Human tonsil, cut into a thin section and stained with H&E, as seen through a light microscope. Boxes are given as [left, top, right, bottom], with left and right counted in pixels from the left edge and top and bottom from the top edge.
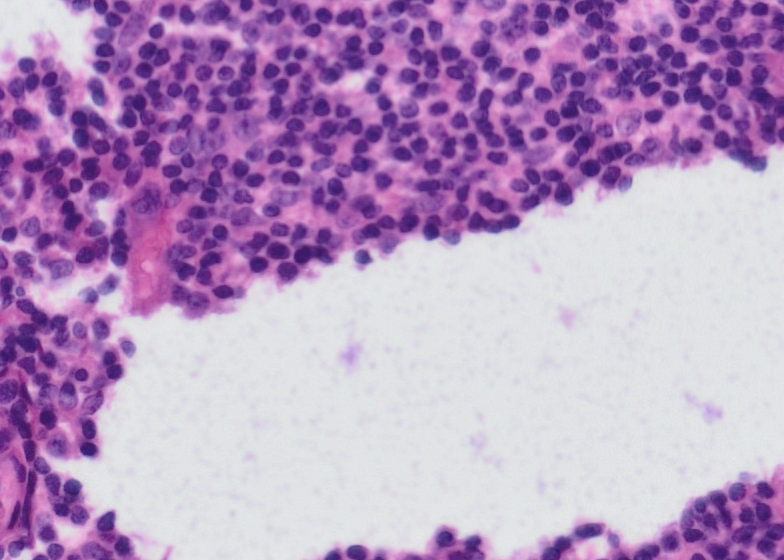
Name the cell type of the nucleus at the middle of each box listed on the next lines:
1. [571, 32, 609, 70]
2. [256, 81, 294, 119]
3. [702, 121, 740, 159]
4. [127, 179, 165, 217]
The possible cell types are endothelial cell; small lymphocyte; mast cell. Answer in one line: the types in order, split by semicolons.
small lymphocyte; small lymphocyte; small lymphocyte; endothelial cell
